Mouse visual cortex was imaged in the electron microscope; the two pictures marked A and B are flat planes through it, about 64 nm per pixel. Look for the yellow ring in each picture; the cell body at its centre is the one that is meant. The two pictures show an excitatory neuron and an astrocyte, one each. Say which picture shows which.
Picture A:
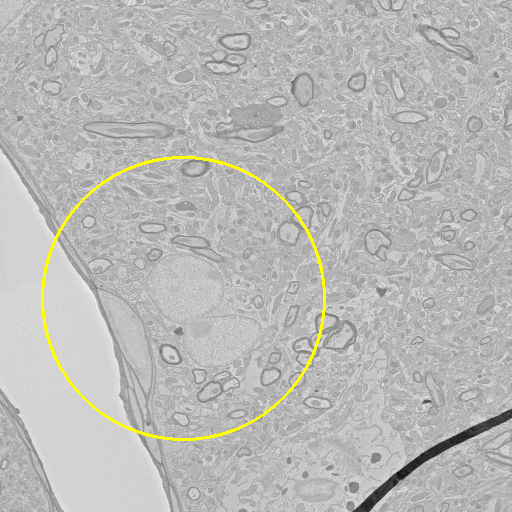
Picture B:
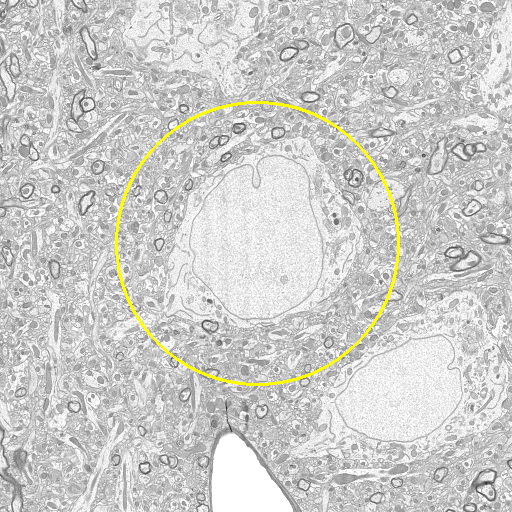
The cell in picture A is an astrocyte, and the one in picture B is an excitatory neuron.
